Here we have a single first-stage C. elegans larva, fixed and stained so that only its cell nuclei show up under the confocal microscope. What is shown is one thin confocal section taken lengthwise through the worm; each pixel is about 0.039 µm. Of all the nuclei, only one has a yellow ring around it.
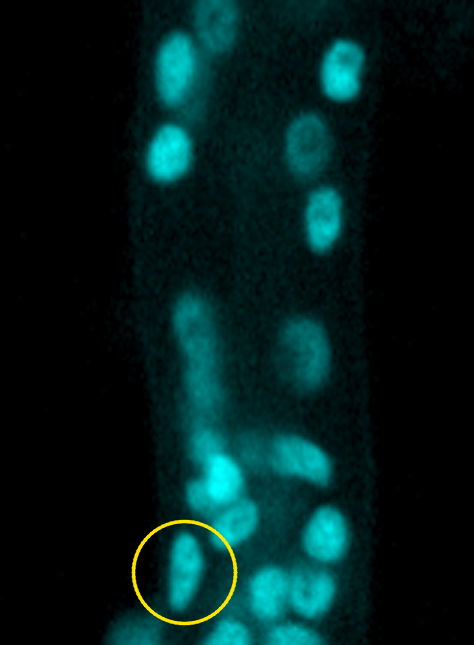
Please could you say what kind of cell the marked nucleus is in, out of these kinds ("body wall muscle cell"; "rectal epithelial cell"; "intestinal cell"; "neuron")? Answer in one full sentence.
What is marked is the nucleus of a rectal epithelial cell.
